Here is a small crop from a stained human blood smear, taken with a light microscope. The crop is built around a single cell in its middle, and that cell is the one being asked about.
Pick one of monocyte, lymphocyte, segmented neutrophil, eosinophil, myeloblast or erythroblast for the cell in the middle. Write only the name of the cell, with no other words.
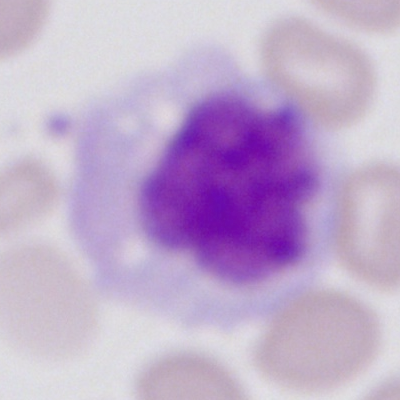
monocyte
